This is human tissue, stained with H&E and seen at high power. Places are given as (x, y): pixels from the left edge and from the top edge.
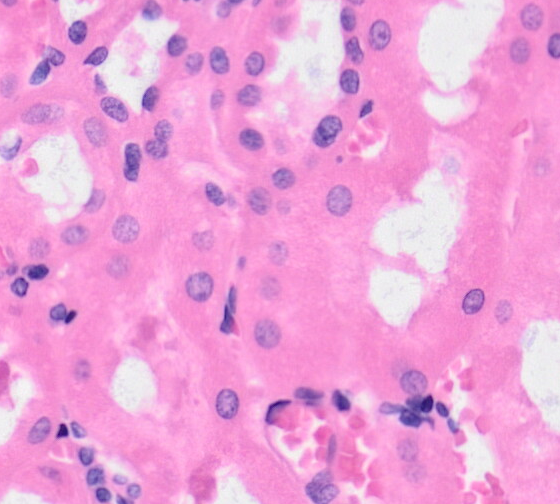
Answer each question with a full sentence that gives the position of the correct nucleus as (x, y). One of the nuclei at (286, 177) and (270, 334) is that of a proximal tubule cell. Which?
The nucleus at position (270, 334) belongs to a proximal tubule cell.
